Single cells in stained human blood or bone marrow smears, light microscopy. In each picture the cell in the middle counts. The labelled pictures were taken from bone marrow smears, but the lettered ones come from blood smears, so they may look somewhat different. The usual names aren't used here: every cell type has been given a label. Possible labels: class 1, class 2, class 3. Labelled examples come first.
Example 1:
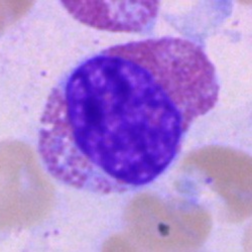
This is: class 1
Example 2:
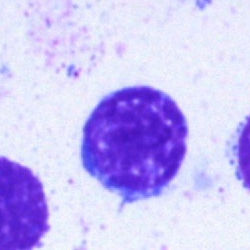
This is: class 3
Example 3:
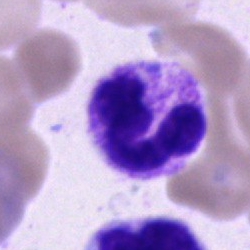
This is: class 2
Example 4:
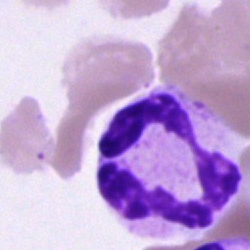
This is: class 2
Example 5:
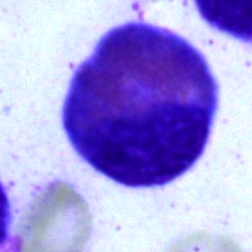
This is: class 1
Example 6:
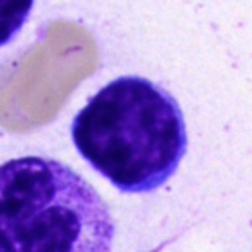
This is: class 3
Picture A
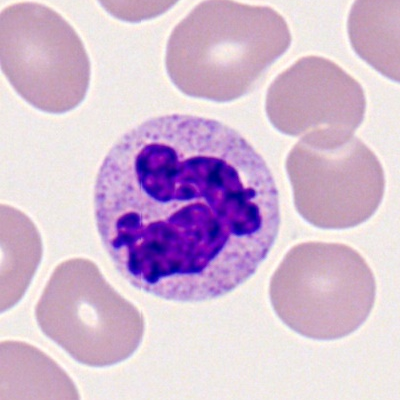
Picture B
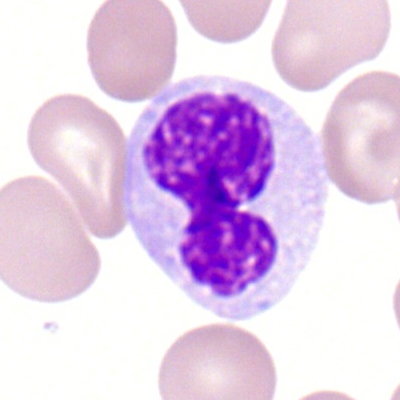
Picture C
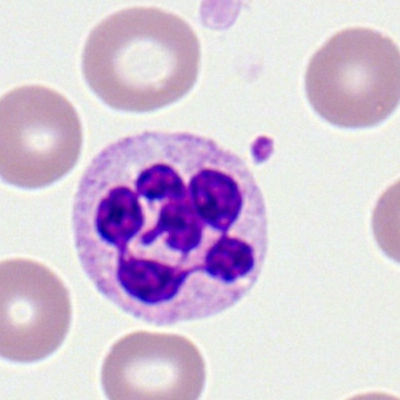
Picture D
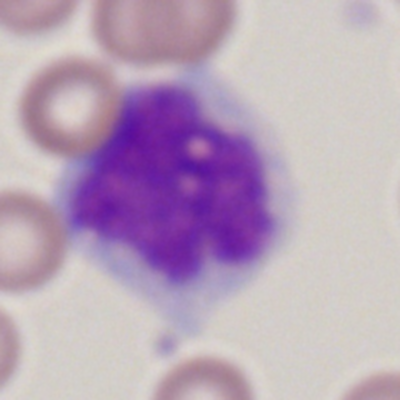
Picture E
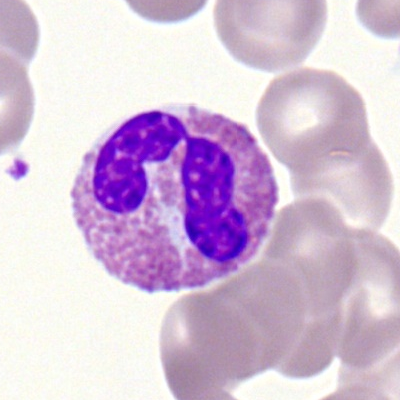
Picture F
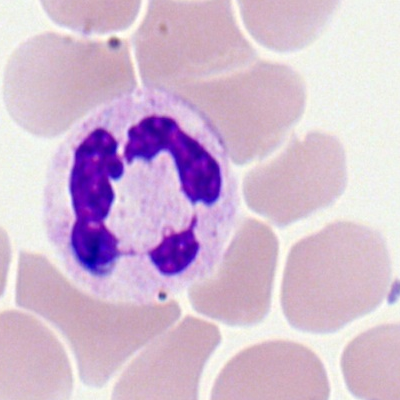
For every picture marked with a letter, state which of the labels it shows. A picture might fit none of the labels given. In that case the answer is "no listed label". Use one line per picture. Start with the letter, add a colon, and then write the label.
A: class 2
B: no listed label
C: class 2
D: no listed label
E: class 1
F: class 2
